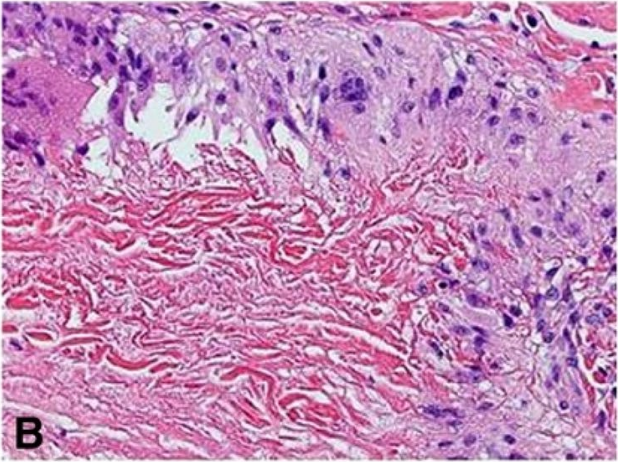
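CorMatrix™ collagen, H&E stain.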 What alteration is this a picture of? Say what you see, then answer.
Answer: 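A large cell with several clustered nuclei lies near the top centre. Cells with oval nuclei and pale pink cytoplasm border the band of wavy pink fibres.
Answer: foreign body giant cell reaction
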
